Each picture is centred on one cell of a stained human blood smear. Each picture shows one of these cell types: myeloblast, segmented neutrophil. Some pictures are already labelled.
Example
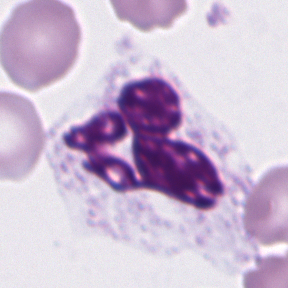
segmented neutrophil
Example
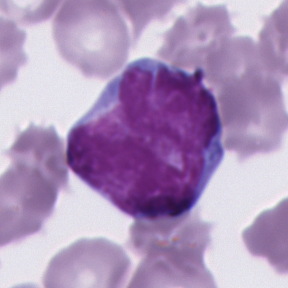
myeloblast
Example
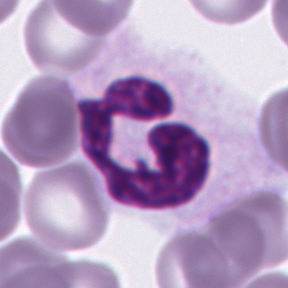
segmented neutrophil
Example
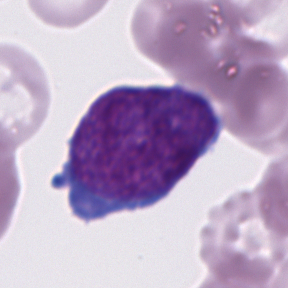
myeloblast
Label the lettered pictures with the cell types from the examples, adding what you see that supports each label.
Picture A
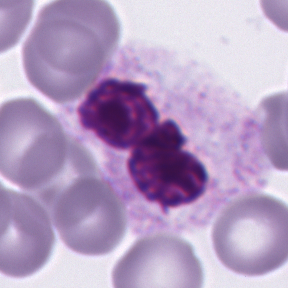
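segmented neutrophil: The pale cytoplasm spreads widely, most of it to the right of the nucleus.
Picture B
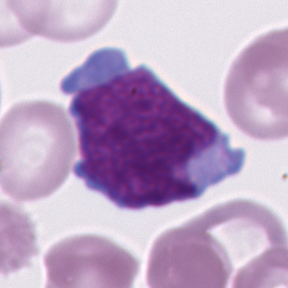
myeloblast: The cytoplasm is scant and shows mainly as a cap at the upper left and a patch at the lower right.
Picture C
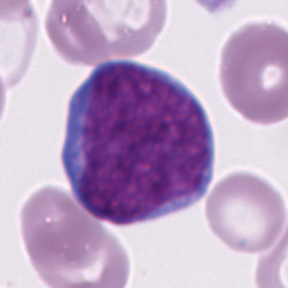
myeloblast: The cytoplasm forms a narrow blue rim that is widest on the left side of the cell.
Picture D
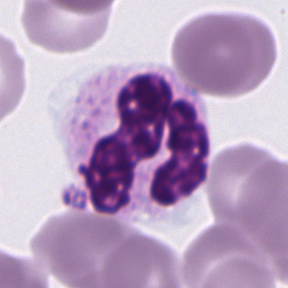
segmented neutrophil: The nucleus is divided into two main masses lying side by side.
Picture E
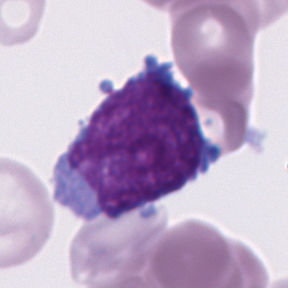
myeloblast: The nucleus is a single unlobed mass filling nearly the whole cell.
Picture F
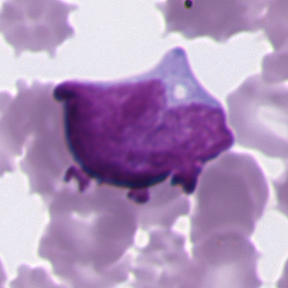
myeloblast: A small amount of pale blue cytoplasm lies mainly at the upper right of the cell.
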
